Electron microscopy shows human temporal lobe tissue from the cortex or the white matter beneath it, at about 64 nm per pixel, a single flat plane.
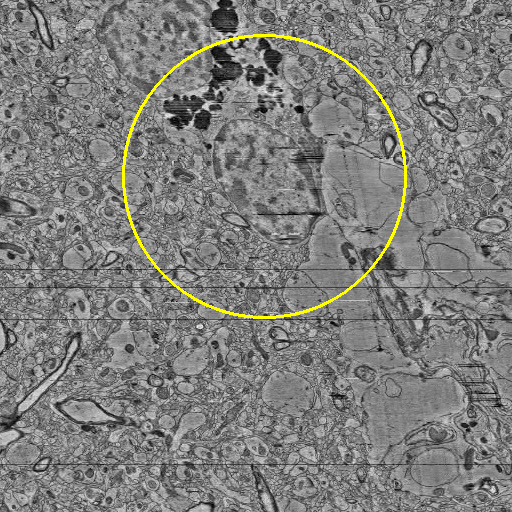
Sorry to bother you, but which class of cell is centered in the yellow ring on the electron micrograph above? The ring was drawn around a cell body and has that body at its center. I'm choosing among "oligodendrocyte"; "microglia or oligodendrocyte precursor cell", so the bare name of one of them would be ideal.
oligodendrocyte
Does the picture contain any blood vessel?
Yes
